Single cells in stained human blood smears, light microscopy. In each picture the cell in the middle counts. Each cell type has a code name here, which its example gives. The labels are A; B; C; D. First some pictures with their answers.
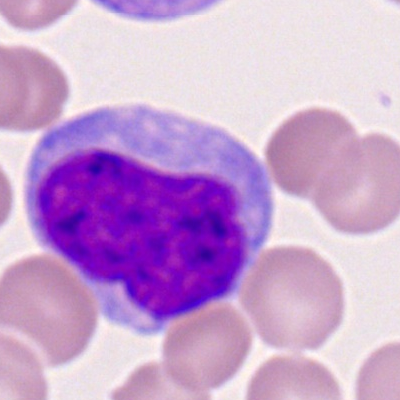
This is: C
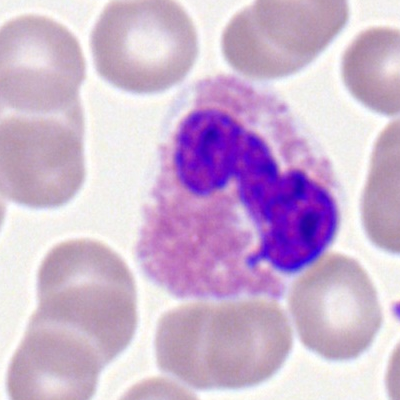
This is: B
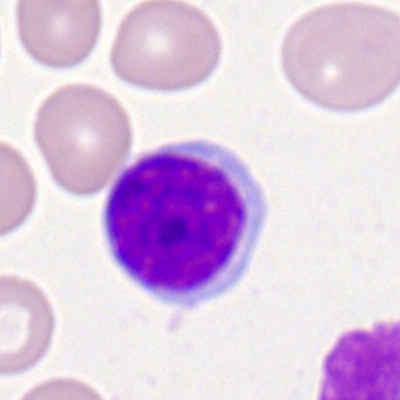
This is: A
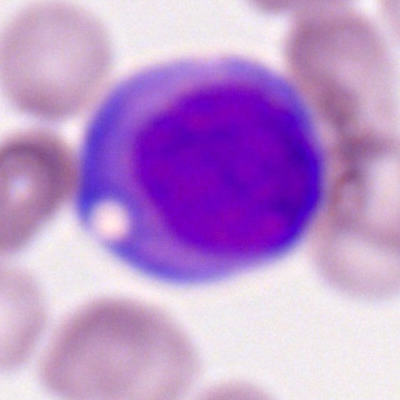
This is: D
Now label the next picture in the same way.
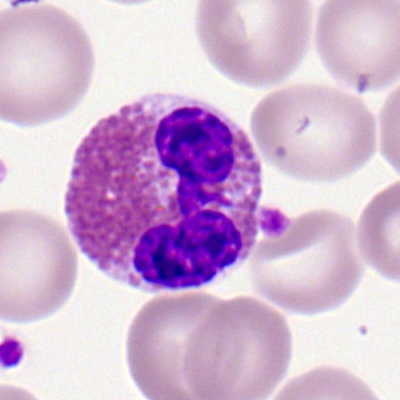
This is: B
